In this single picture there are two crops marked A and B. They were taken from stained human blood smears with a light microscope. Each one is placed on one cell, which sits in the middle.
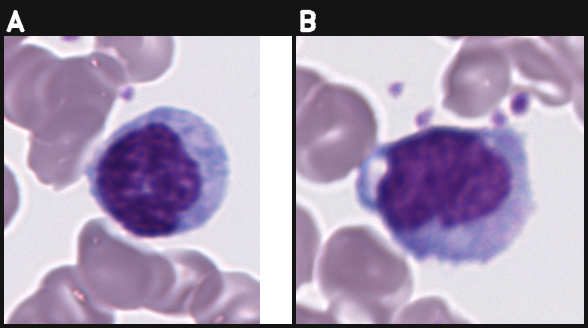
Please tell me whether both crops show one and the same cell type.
yes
